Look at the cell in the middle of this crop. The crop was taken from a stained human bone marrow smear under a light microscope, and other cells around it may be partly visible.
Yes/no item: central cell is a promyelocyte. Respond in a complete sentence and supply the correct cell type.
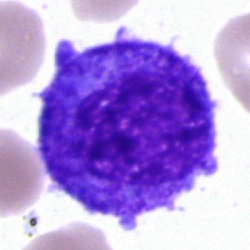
Yes, the cell at the centre is designated a promyelocyte.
